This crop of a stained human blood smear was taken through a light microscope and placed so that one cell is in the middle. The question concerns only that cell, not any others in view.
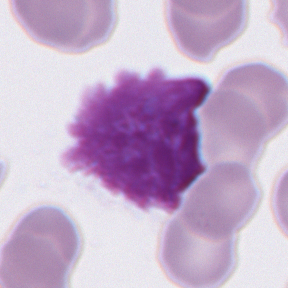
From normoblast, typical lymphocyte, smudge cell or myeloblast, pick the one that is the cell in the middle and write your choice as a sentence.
The center cell of this crop is a smudge cell.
